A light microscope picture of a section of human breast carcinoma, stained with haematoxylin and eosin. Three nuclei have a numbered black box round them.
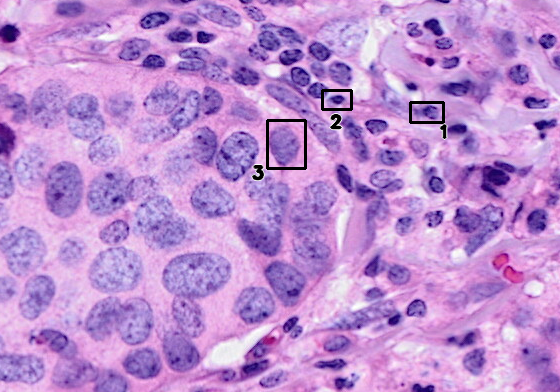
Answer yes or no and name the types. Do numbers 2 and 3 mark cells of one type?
No, cell 2 is a lymphocyte and cell 3, for its part, is a carcinoma cell.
